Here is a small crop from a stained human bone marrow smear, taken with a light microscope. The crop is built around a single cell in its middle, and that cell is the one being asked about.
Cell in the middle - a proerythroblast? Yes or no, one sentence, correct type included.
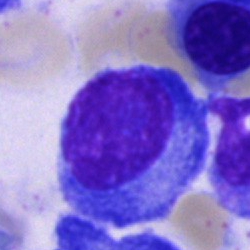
No, the cell positioned in the middle is a plasma cell, not a proerythroblast.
